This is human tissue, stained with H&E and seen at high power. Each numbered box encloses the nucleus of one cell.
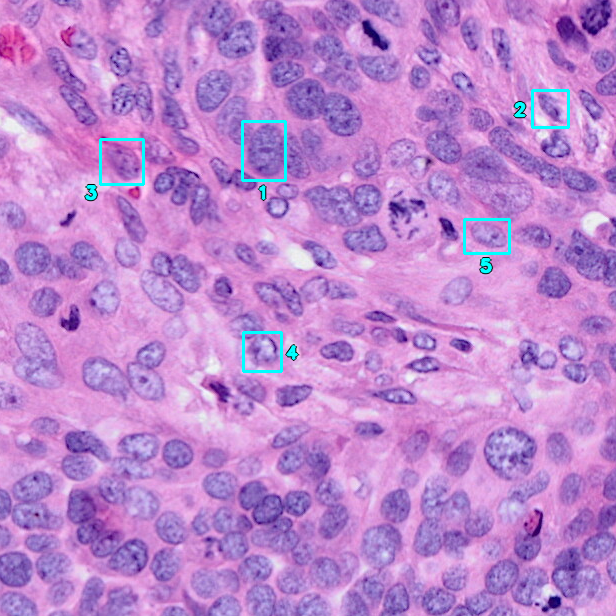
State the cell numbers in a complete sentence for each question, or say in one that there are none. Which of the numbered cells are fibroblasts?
The cells that the numbers 2, 4 and 5 belong to are fibroblasts.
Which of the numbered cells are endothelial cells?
It is cell 3, and no other numbered cell, that is an endothelial cell.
